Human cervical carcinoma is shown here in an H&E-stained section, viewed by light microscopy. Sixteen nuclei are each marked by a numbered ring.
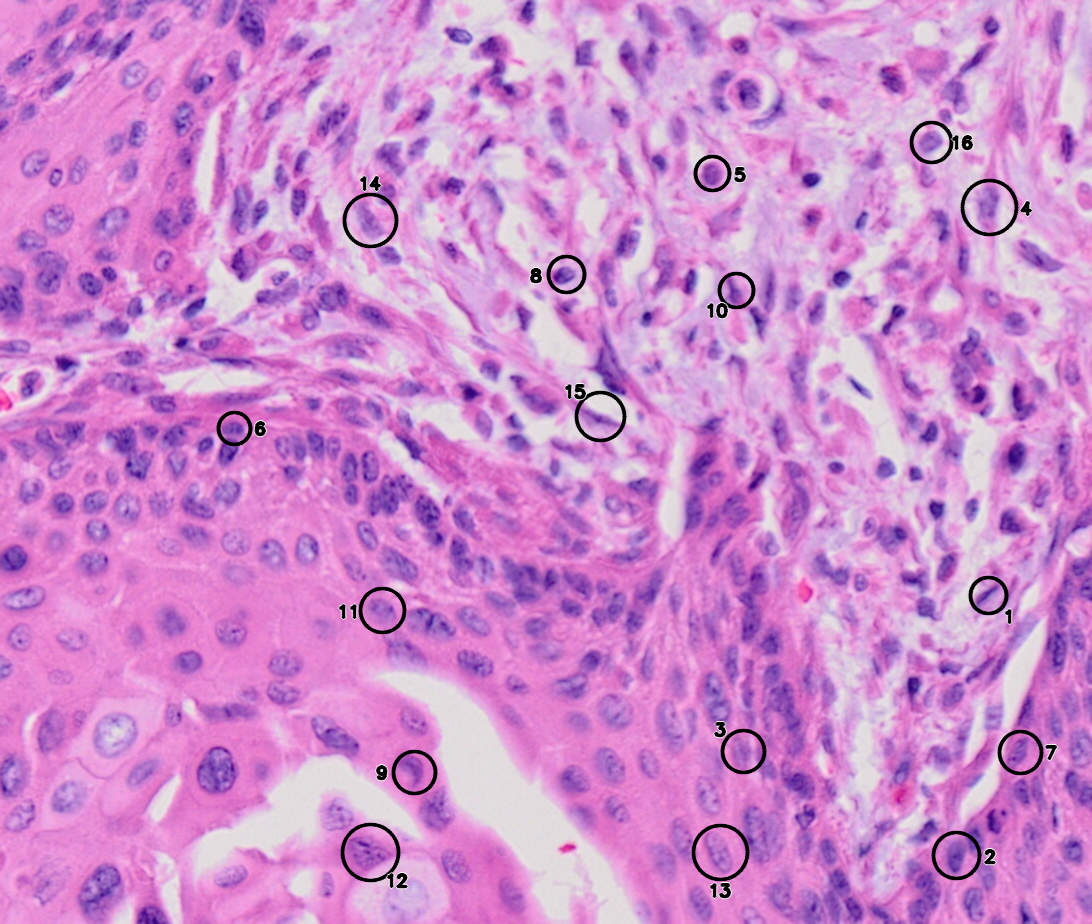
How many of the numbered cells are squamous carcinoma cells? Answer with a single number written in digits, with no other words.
8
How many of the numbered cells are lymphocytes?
1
